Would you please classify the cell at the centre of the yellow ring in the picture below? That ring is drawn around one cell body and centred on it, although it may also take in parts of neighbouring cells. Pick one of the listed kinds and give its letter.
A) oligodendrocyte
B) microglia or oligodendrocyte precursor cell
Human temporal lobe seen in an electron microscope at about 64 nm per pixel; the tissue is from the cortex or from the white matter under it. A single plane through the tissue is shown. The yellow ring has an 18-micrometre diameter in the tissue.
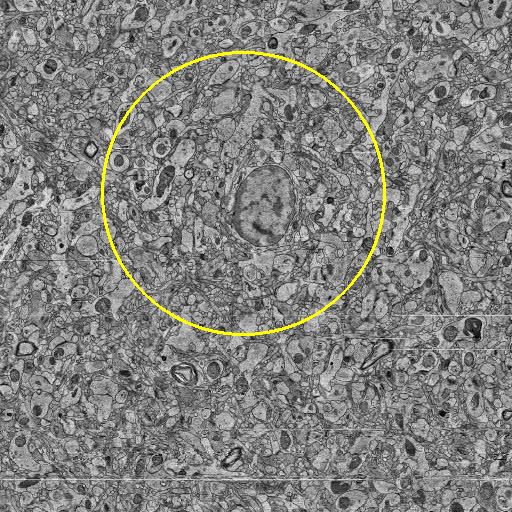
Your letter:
B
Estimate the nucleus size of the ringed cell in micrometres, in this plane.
In this plane the nucleus spans approximately 5 by 4 micrometers.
